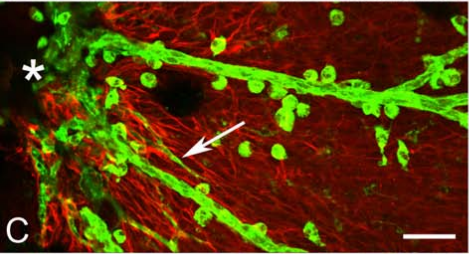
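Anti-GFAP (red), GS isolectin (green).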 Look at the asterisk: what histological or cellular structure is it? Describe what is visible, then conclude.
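Optic nerve head. Vessels and fibres converge on the point marked by the asterisk at the left edge. A dark gap lies next to the marked point.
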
